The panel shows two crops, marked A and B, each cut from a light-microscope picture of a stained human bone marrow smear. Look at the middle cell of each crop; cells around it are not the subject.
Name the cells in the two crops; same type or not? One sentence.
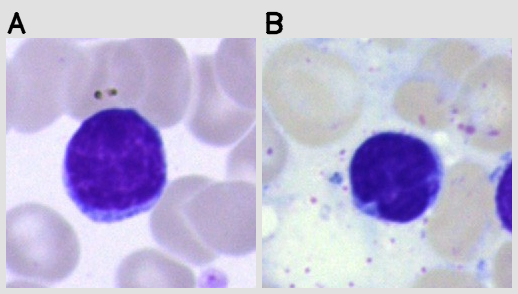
Yes, the same answer goes for both crops, namely lymphocytes.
